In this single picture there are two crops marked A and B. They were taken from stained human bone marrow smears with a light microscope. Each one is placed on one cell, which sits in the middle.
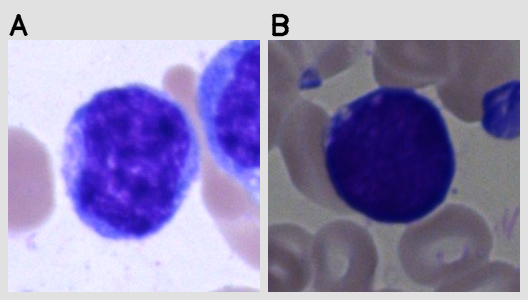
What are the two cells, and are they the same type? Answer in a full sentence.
Yes, the cells that both crops show at the centre are blasts.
